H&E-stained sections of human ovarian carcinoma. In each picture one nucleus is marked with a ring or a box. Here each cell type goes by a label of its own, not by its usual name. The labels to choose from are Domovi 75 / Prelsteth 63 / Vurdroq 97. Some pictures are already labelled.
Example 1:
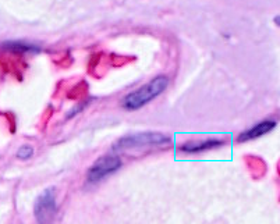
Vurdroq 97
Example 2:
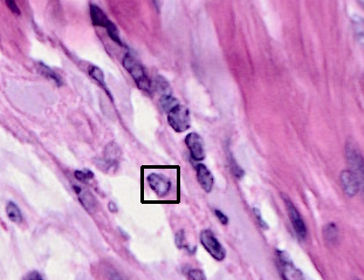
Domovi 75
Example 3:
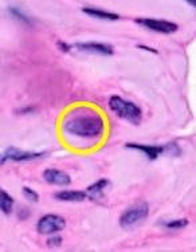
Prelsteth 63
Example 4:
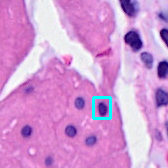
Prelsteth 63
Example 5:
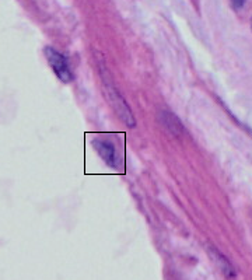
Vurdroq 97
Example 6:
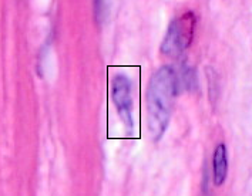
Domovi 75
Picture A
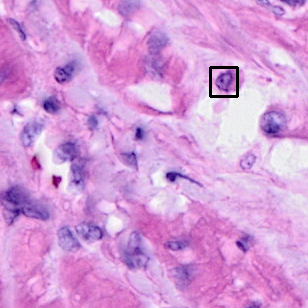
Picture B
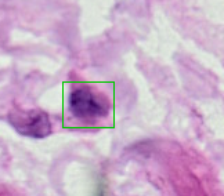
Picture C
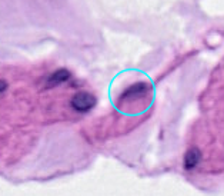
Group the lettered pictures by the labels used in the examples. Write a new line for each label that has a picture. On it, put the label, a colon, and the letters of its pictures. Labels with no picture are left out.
Domovi 75: A, B
Prelsteth 63: C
